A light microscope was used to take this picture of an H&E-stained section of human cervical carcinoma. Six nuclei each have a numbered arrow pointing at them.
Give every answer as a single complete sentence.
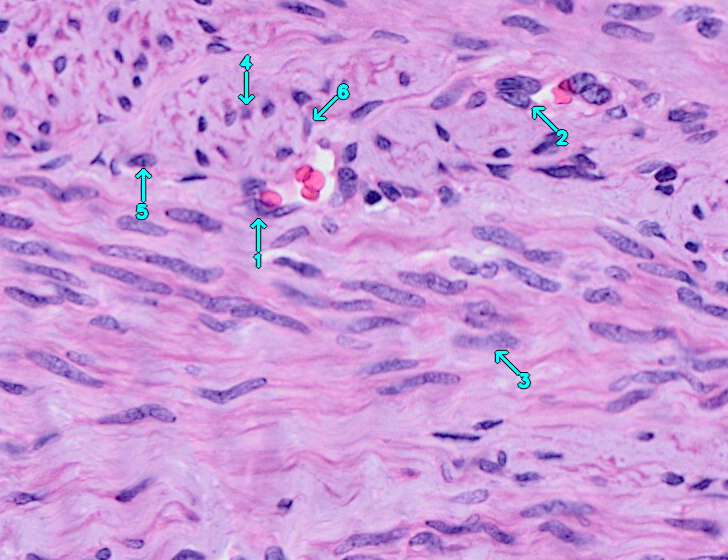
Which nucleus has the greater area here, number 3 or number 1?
Nucleus 3 is the larger one, covering about 3 times the area of nucleus 1.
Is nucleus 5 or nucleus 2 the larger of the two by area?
Number 2 is larger; its area is about 4 times that of number 5.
